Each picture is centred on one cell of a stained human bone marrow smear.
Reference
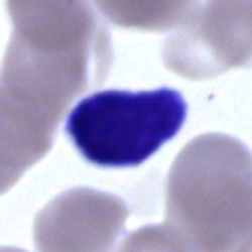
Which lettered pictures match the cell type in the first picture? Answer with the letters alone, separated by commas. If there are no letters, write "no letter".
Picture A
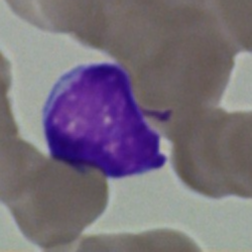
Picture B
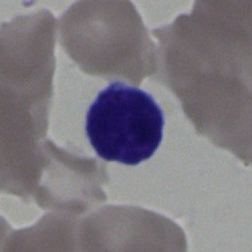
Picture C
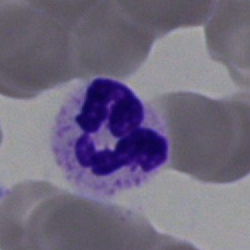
A, B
